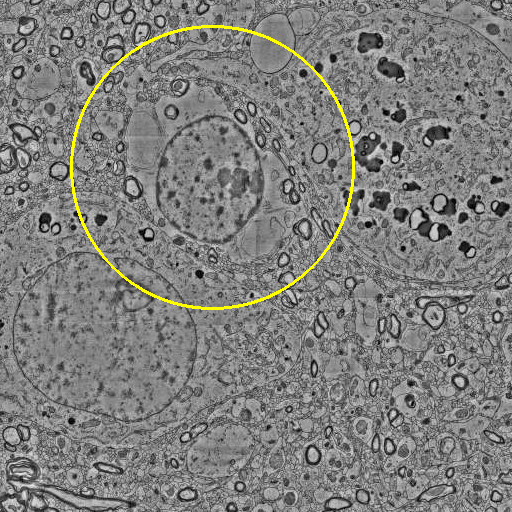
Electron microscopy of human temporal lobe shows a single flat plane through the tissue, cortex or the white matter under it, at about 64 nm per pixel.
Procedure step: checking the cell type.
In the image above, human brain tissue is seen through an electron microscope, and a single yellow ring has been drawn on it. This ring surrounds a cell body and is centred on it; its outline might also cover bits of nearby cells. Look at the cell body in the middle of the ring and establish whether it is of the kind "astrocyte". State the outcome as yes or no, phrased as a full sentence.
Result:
Yes, the cell body at the ring's centre in the image is of the kind in question.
